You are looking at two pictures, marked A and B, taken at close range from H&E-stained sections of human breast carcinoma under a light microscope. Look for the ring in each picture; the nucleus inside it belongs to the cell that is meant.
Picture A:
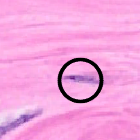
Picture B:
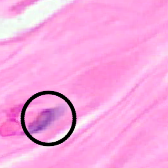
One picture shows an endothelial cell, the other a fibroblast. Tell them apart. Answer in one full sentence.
Picture A is of a fibroblast, and picture B is of an endothelial cell.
